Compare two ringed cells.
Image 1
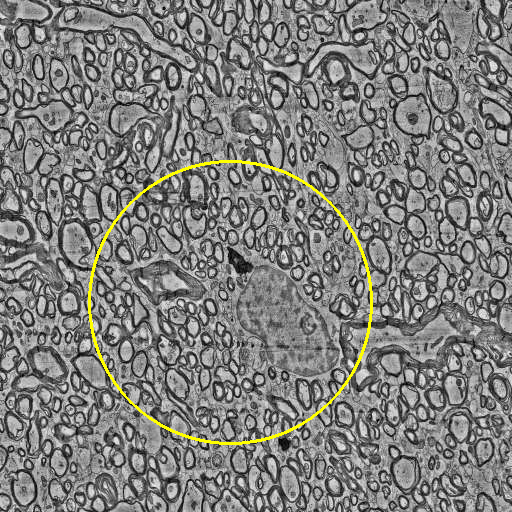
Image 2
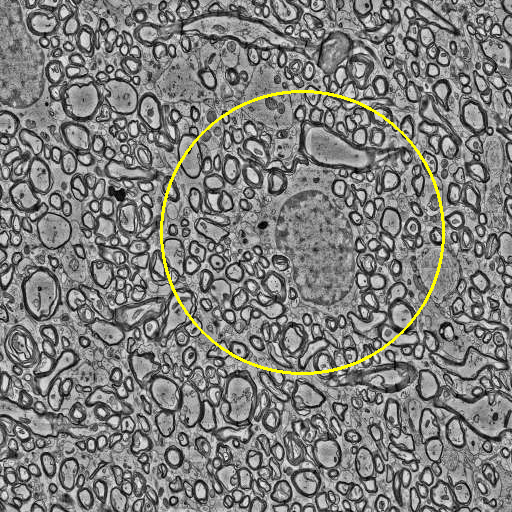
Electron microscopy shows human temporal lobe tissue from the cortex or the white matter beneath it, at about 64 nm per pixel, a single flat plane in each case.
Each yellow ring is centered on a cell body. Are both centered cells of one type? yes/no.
yes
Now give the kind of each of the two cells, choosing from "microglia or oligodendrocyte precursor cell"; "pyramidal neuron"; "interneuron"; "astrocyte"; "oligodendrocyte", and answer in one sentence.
Each of the ringed cells, first and second, is an oligodendrocyte.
